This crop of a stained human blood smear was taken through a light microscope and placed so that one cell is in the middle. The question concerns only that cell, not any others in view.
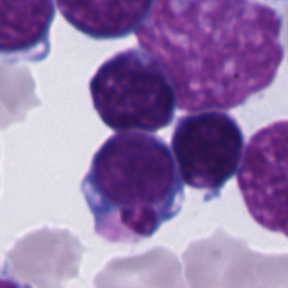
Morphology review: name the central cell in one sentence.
The cell at the heart of this crop is a blast.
